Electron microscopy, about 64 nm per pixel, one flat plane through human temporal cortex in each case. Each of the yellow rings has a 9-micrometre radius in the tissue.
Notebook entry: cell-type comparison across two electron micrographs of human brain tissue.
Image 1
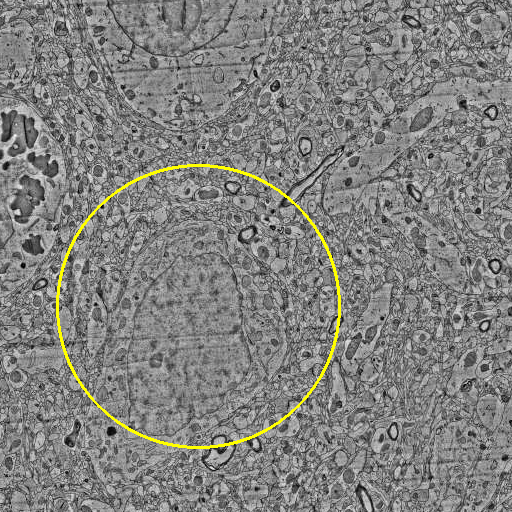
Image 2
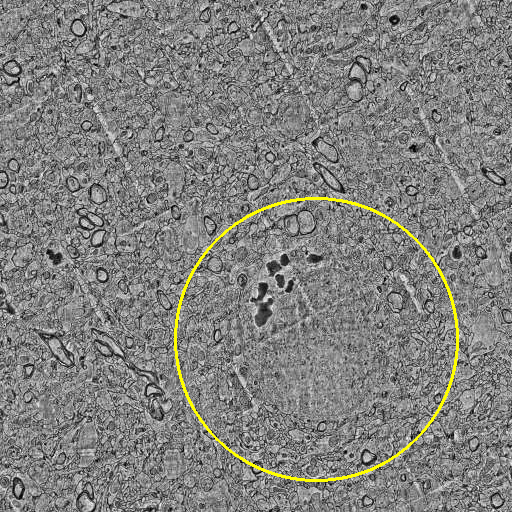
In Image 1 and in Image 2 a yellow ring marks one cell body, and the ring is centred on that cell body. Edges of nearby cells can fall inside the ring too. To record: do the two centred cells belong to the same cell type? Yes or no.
yes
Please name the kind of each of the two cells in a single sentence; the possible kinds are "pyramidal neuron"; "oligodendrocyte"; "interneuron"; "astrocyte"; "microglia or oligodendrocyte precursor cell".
In both pictures the ring is centred on an interneuron.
